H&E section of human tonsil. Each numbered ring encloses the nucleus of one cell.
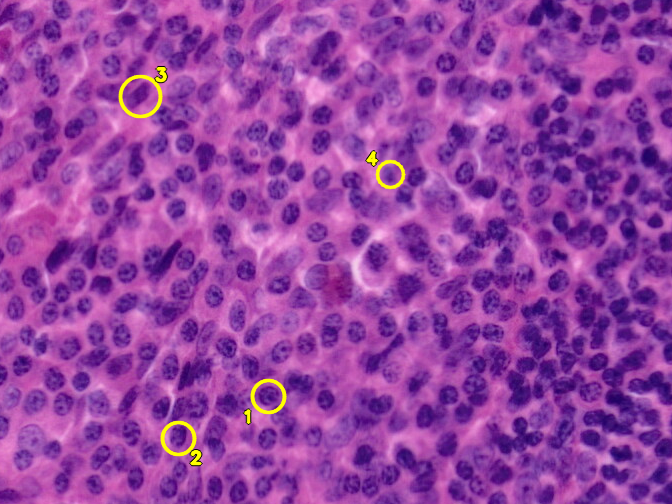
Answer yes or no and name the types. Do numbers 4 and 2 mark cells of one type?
No, just to clarify, cell 4 is a squamous epithelial cell and cell 2 is a plasma cell.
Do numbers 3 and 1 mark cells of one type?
No, cell 3 is a squamous epithelial cell whereas cell 1 is a plasma cell.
